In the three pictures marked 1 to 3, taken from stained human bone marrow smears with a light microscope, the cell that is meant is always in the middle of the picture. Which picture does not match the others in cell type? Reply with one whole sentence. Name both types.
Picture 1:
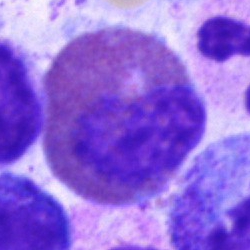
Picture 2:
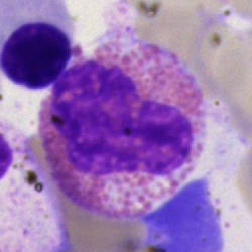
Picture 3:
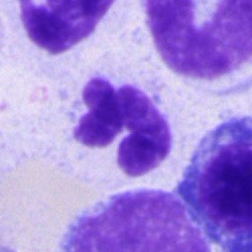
Picture 3 differs, because its cell is a segmented neutrophil and the rest are eosinophils.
